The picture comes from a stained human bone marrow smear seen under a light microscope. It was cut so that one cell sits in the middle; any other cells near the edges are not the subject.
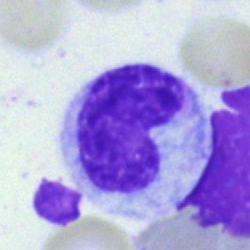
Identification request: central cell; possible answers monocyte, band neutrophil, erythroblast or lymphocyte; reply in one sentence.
To answer, the cell in the center of the crop is a band neutrophil.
